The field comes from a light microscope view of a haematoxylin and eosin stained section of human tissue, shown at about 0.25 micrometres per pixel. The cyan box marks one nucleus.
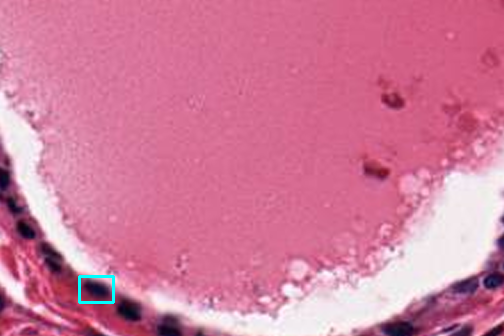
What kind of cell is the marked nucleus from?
thyroid follicular cell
